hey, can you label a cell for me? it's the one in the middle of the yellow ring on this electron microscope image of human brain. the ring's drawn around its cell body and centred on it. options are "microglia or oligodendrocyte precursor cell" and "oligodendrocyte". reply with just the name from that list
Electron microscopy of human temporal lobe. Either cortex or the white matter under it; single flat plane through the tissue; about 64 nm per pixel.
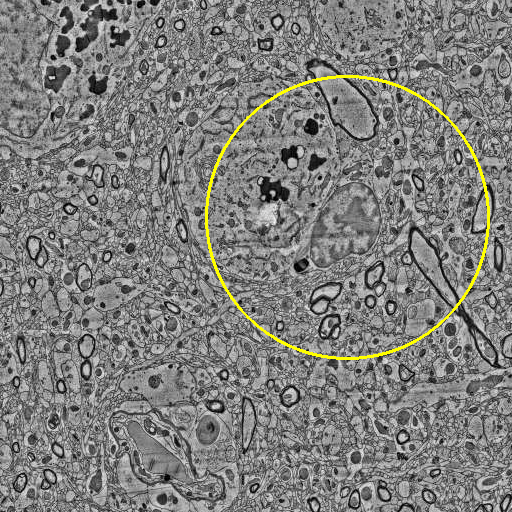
microglia or oligodendrocyte precursor cell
